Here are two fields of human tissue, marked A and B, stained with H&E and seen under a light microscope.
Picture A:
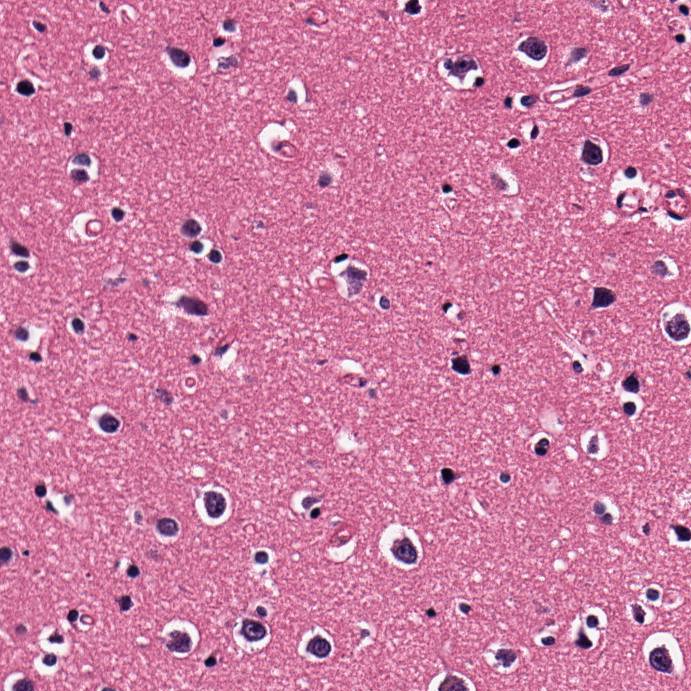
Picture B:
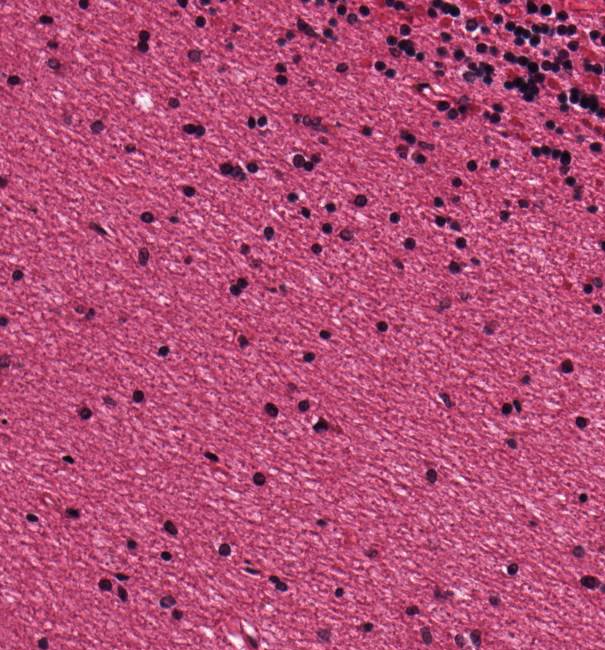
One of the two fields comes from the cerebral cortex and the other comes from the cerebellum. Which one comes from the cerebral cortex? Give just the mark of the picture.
A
